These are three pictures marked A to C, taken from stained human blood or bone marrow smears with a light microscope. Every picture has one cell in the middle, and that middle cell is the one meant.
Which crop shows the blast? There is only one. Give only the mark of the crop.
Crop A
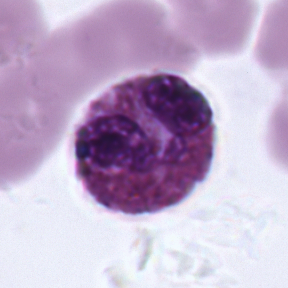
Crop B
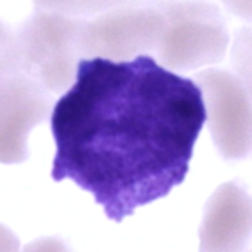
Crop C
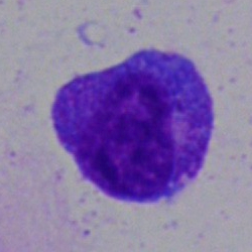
B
